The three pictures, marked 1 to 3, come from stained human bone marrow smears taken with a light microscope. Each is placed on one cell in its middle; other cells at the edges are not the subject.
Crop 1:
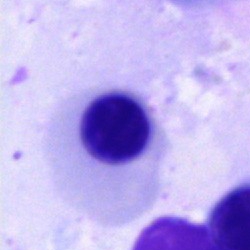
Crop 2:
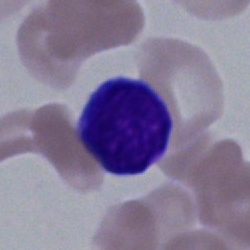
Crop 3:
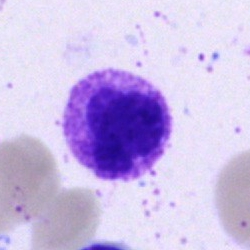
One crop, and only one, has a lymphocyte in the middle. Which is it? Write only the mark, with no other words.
2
